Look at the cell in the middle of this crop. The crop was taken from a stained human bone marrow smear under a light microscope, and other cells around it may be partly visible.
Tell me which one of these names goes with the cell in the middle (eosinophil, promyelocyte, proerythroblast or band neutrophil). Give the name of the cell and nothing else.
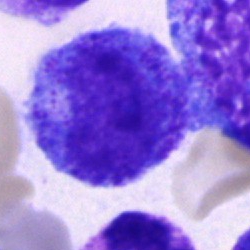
promyelocyte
